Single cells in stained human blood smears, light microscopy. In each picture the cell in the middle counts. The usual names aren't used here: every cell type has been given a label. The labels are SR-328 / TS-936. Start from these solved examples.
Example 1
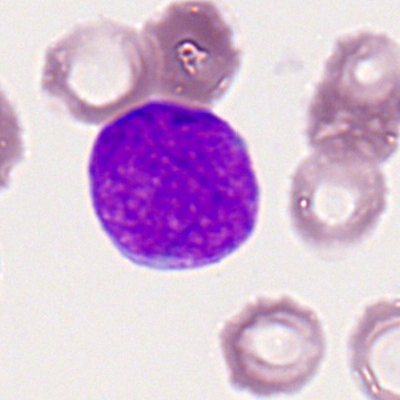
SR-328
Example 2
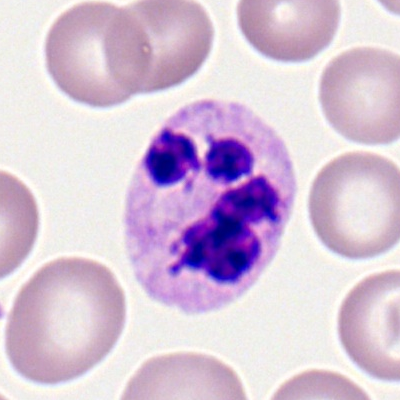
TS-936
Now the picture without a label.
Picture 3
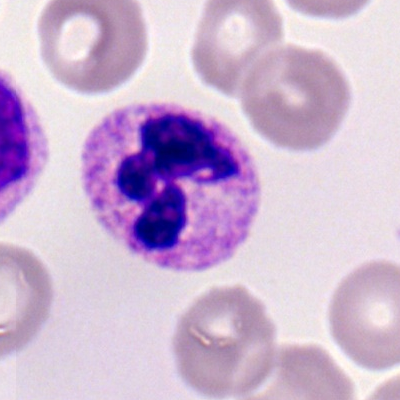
TS-936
